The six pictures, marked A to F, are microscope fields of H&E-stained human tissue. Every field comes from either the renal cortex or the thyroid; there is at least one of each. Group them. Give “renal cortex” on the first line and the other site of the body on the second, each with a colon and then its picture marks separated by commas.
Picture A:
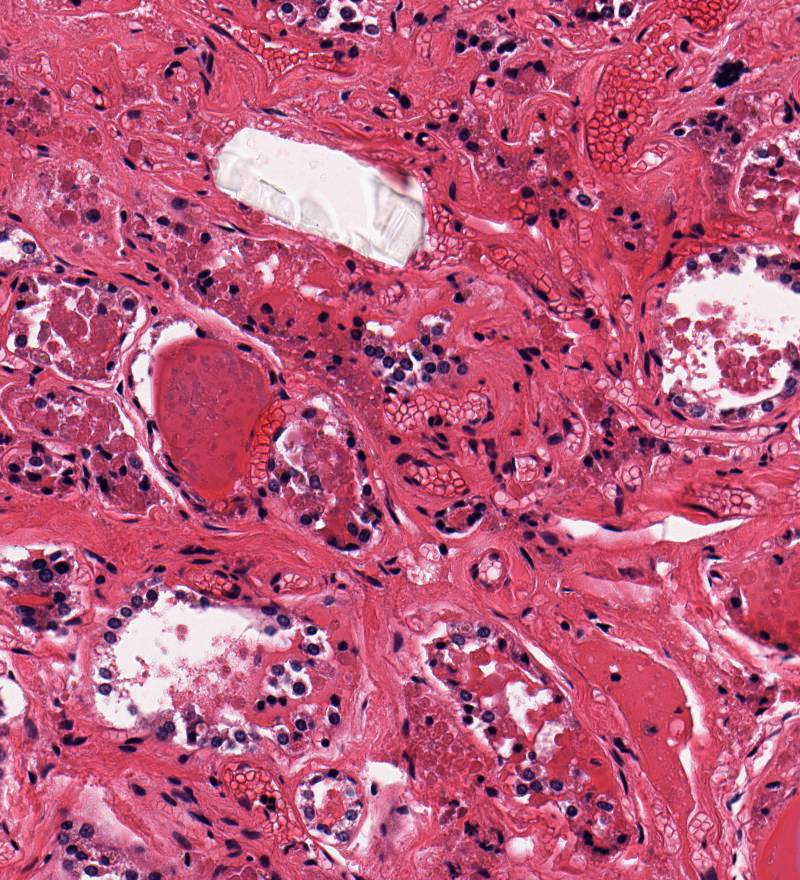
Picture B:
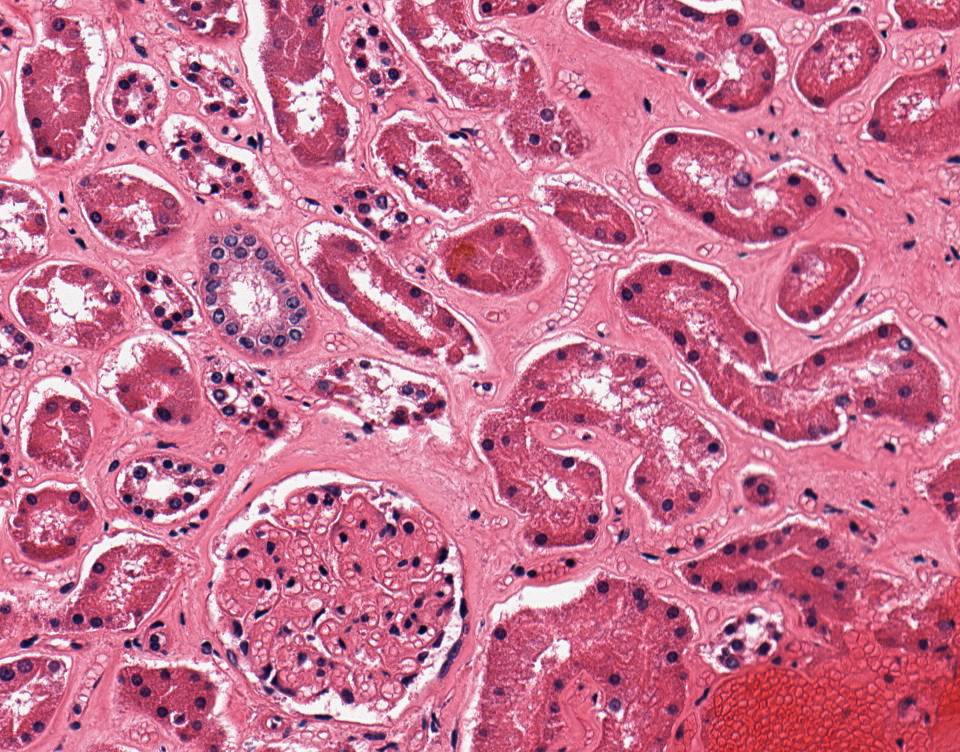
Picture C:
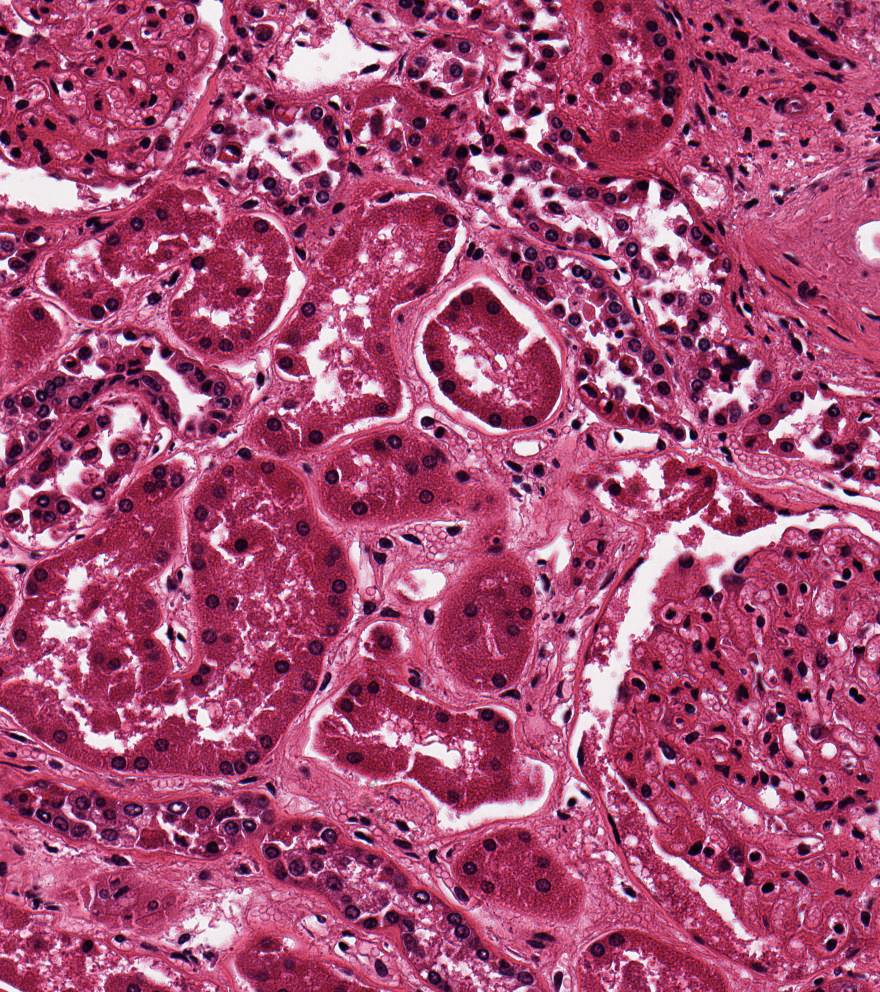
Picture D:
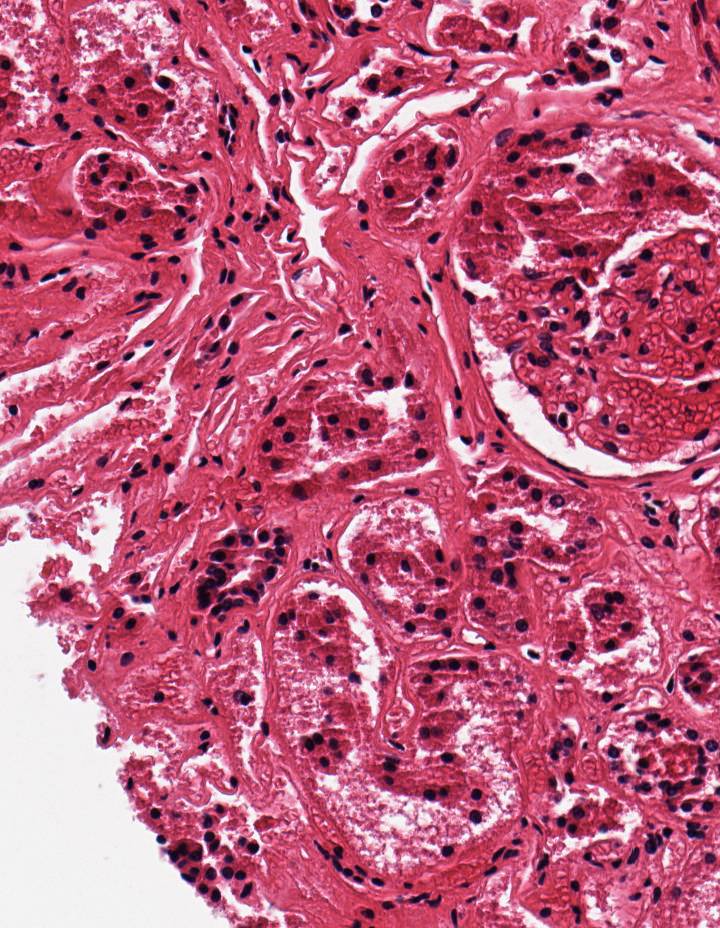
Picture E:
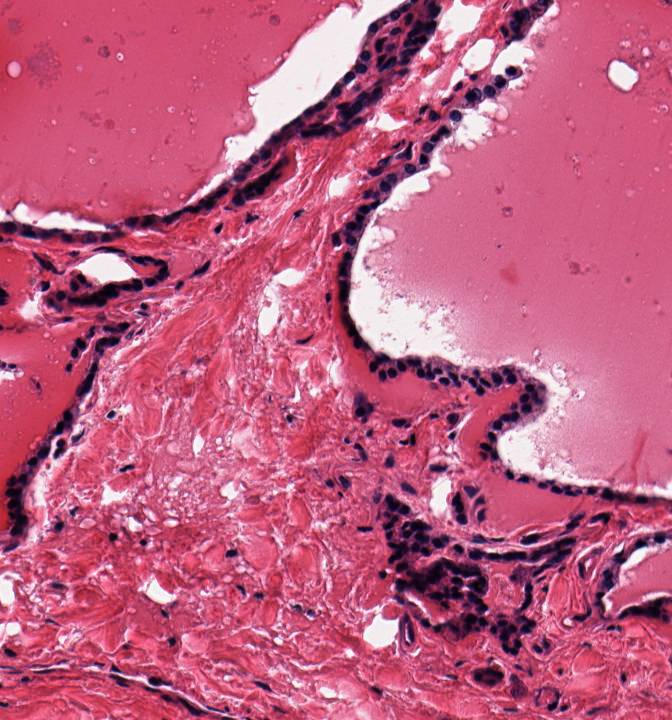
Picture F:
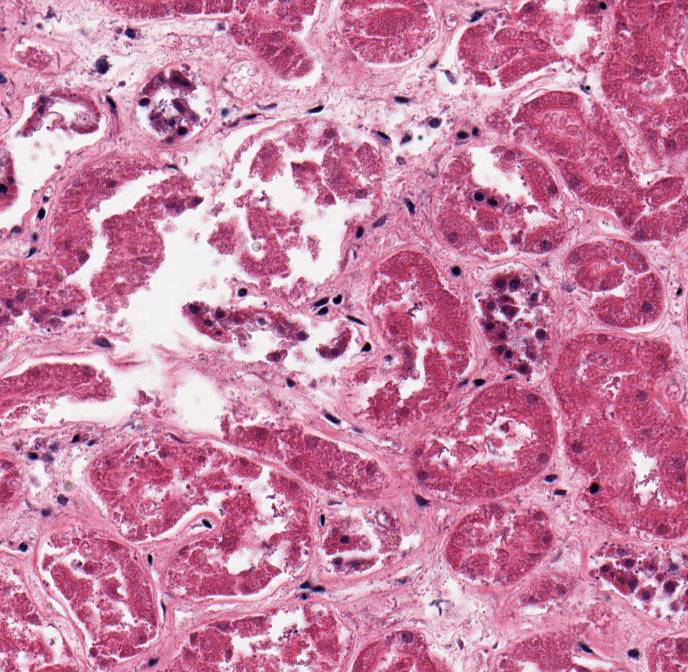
renal cortex: B, C, D, F
thyroid: A, E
